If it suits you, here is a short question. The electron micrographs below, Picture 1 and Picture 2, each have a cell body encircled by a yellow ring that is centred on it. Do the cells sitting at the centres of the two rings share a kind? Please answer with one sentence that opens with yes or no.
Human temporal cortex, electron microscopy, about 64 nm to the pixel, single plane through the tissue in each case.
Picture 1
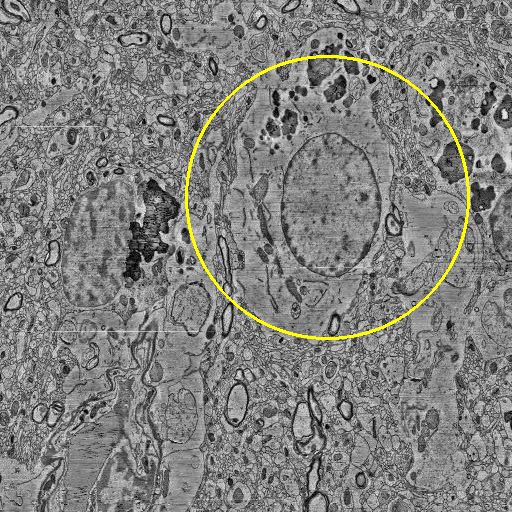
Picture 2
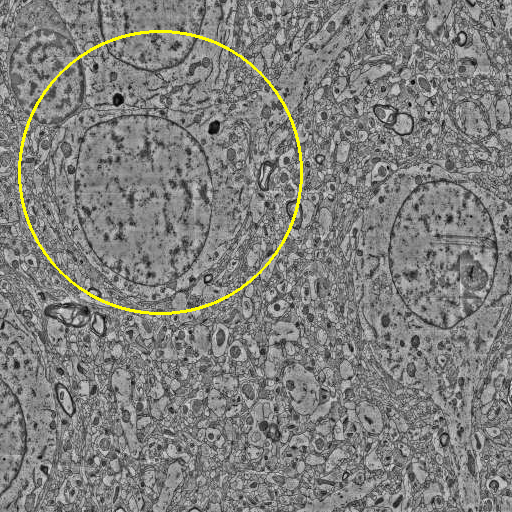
No, the two cells sitting at the ring centres fall into two kinds.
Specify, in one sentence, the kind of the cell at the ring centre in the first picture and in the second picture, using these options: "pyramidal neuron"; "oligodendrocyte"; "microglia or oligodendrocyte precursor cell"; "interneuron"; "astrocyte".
So the first is an astrocyte, the second a pyramidal neuron.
